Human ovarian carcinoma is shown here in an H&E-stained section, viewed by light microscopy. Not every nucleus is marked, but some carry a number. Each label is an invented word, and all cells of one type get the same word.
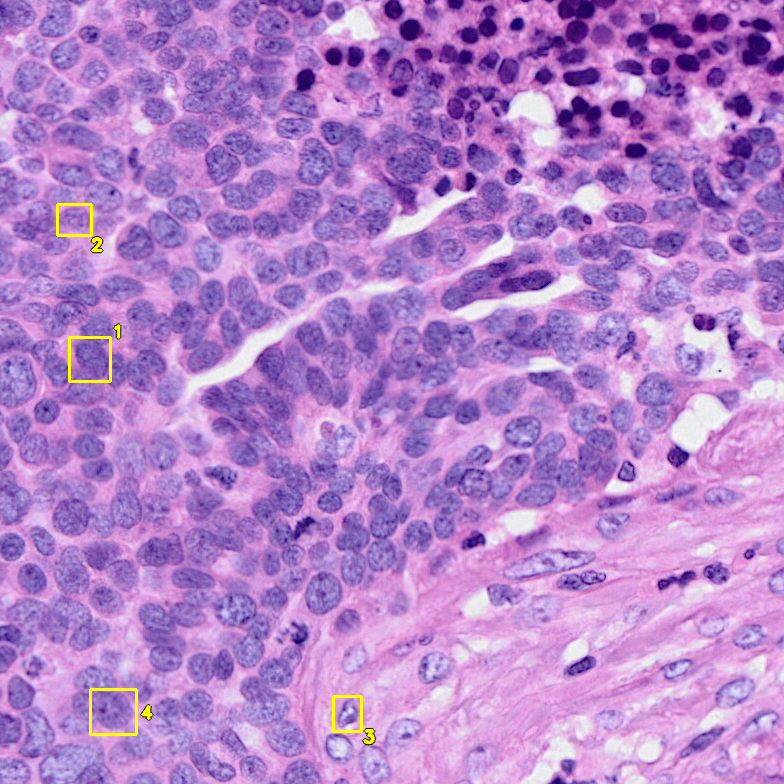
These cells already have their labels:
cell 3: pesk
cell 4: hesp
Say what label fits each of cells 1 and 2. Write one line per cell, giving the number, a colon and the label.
1: hesp
2: hesp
